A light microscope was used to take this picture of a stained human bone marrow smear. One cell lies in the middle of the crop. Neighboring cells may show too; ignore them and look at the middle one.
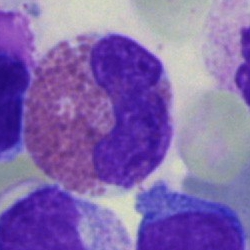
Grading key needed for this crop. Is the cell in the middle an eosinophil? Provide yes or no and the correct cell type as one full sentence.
Yes, the cell right in the middle is an eosinophil.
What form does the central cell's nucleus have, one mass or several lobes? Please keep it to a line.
A single compact nucleus, round, oval or kidney-shaped, is what this cell shows.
